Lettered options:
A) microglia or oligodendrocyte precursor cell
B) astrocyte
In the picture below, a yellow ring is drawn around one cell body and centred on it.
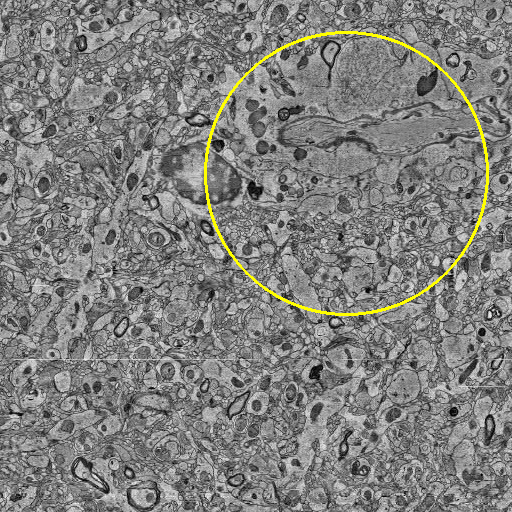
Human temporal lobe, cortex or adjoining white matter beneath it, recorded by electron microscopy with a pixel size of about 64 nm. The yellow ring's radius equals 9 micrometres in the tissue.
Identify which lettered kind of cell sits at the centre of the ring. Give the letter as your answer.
A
